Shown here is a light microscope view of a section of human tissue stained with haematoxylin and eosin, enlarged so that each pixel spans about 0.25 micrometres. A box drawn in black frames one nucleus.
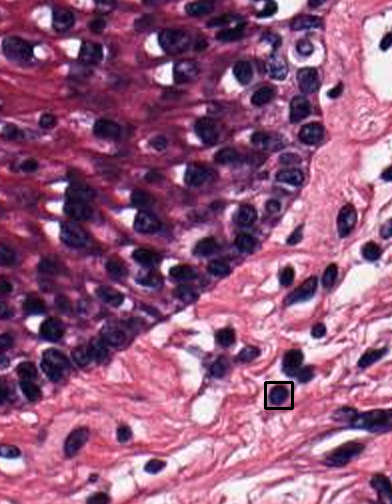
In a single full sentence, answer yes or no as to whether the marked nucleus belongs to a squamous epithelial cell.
No, the marked nucleus has its place in a supporting cell rather than in a squamous epithelial cell.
